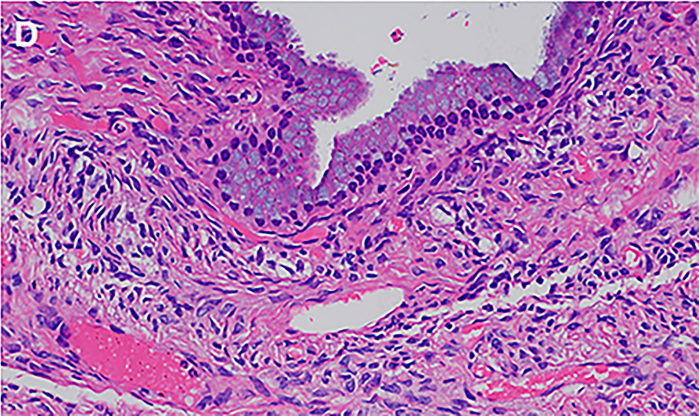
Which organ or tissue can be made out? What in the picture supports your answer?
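Ovarian-like stroma. Beneath the surface lining lies densely packed stroma. The stromal cells are plump spindle cells with oval dark nuclei. The stroma is far more cellular than loose fibrous tissue.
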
